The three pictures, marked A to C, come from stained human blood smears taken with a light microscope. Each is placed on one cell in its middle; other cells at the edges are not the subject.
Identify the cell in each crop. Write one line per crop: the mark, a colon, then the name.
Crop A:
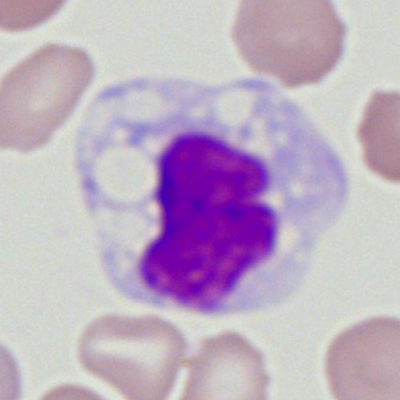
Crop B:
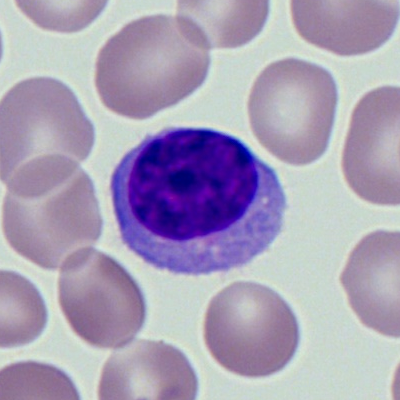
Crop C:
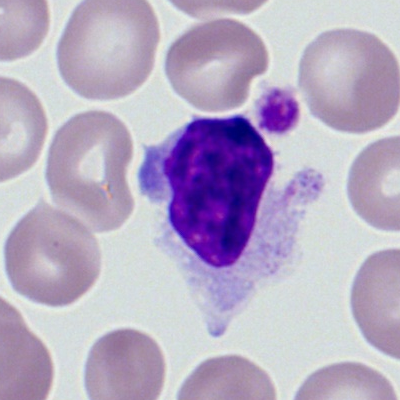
A: monocyte
B: lymphocyte
C: lymphocyte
